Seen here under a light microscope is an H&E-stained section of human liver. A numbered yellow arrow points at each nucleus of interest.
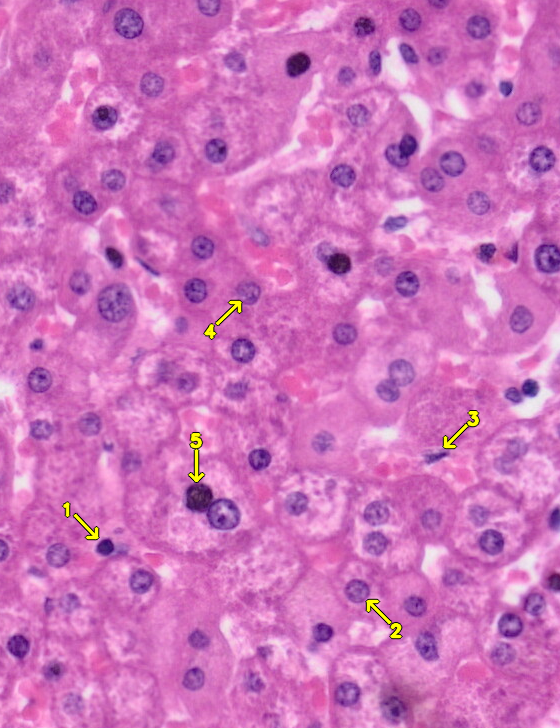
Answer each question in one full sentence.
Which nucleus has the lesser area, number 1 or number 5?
The smaller nucleus is 1, and 5 covers roughly 2 times its area.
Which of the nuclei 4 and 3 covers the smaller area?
The smaller nucleus is 3, and 4 covers roughly 1.5 times its area.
